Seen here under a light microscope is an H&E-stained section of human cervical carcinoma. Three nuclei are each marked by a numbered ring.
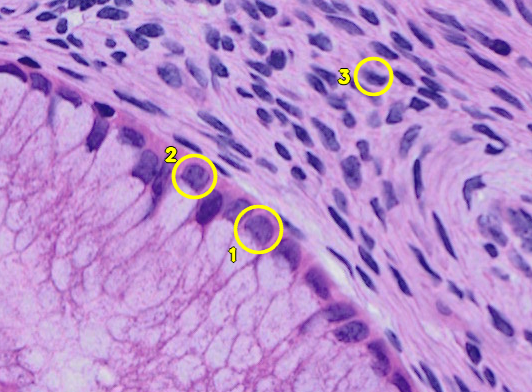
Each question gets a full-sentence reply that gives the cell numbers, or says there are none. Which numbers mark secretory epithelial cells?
The cells that the numbers 1 and 2 belong to are secretory epithelial cells.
